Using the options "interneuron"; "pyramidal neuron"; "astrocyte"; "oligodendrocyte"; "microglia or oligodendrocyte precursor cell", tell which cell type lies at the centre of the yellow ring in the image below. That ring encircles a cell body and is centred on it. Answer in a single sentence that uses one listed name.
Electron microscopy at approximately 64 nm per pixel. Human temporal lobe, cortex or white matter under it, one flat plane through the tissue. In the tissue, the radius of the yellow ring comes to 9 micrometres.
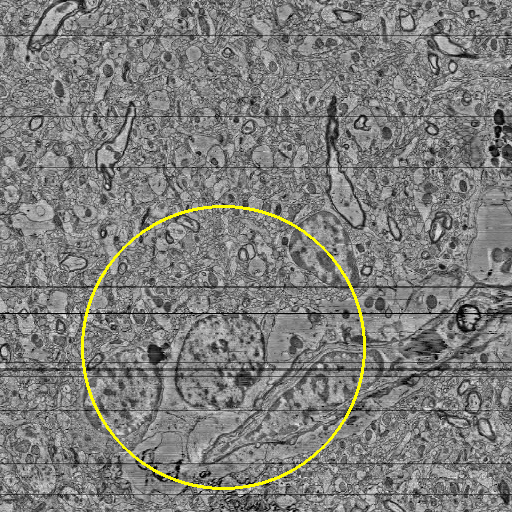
At the centre of the yellow ring lies the body of a microglial cell or oligodendrocyte precursor cell.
